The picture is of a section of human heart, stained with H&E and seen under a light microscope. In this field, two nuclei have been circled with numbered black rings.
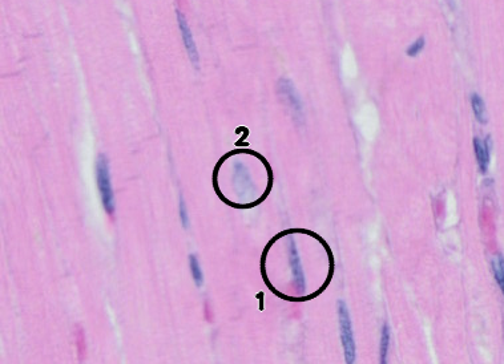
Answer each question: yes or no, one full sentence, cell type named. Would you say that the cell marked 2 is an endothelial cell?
No, cell number 2 is a cardiomyocyte; it is not an endothelial cell.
